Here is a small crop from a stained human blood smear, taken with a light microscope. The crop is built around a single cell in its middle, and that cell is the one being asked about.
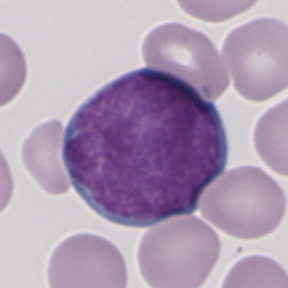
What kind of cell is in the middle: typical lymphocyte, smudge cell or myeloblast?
myeloblast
